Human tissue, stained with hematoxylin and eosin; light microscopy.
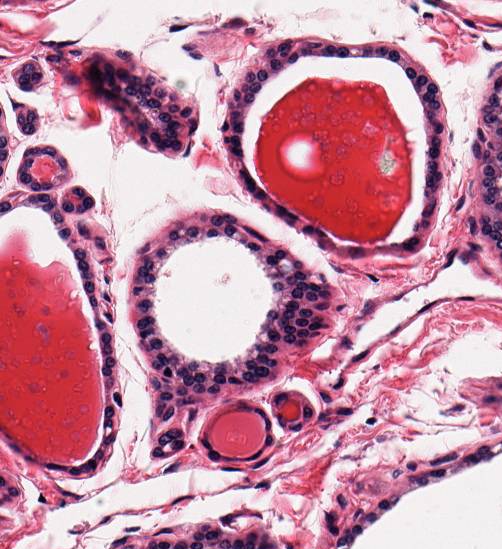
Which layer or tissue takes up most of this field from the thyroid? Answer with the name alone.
thyroid follicle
